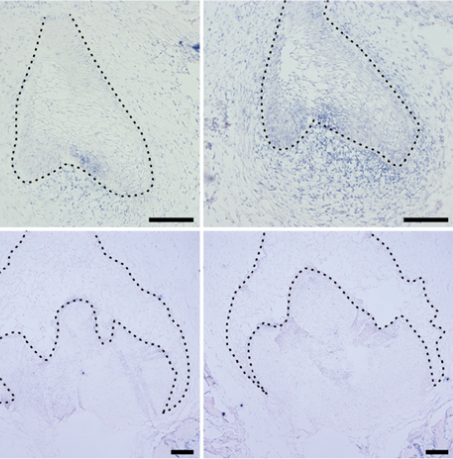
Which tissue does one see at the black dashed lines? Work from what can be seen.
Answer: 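Dashed lines trace a folded epithelial sheet shaped like a cap or bell. Loose mesenchyme lies outside the outlined boundary. The answer: tooth bud epithelium.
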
